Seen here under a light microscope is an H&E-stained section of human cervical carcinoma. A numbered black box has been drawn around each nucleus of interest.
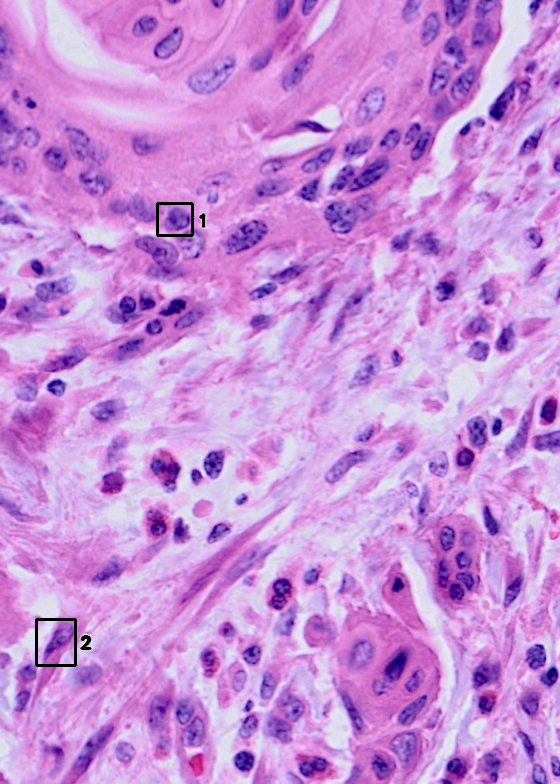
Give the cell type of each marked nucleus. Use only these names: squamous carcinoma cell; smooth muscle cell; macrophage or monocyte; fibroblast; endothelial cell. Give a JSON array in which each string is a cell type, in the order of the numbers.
["squamous carcinoma cell", "fibroblast"]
